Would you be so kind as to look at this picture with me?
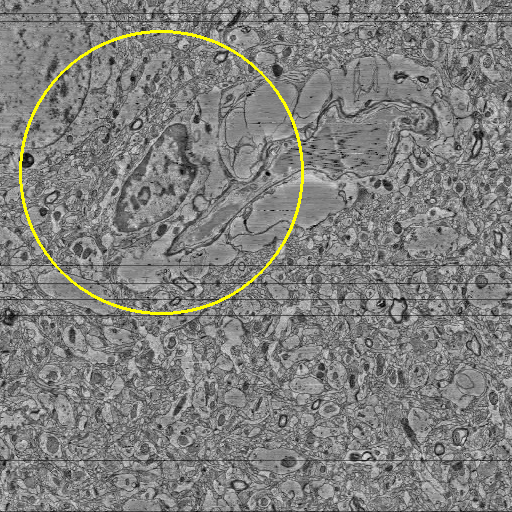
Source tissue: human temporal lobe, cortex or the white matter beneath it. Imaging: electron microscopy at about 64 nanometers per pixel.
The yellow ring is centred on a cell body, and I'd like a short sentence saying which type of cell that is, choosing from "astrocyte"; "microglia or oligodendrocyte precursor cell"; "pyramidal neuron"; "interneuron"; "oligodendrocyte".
The cell body in the ring belongs to a microglial cell or oligodendrocyte precursor cell.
